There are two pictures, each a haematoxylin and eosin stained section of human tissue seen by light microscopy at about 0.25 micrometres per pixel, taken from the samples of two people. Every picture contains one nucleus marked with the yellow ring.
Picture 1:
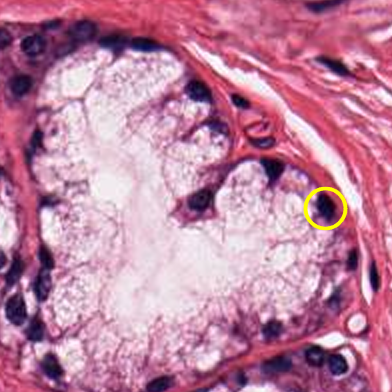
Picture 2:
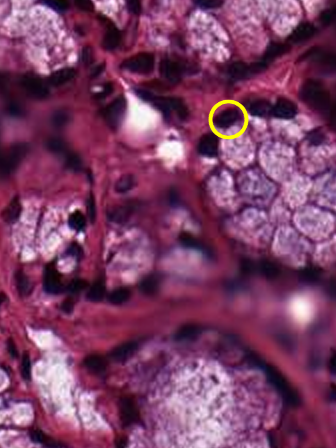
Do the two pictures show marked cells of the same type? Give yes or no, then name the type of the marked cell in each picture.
Yes, both are mucous gland cells.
